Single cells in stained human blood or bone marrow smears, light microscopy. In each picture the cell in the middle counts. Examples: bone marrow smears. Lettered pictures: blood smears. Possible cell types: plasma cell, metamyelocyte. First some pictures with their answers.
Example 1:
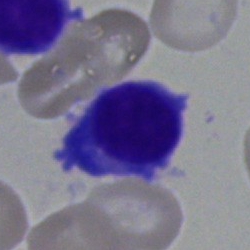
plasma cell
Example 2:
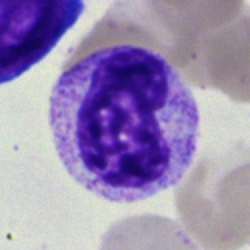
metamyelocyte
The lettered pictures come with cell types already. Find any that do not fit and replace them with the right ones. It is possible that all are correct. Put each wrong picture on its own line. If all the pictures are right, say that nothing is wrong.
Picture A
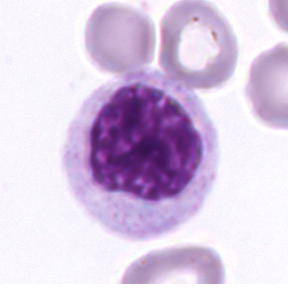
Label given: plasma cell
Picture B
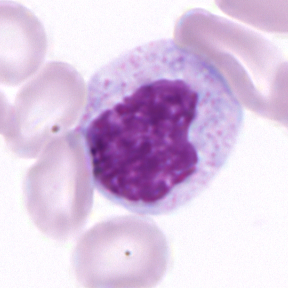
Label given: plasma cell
A: metamyelocyte, not plasma cell
B: metamyelocyte, not plasma cell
